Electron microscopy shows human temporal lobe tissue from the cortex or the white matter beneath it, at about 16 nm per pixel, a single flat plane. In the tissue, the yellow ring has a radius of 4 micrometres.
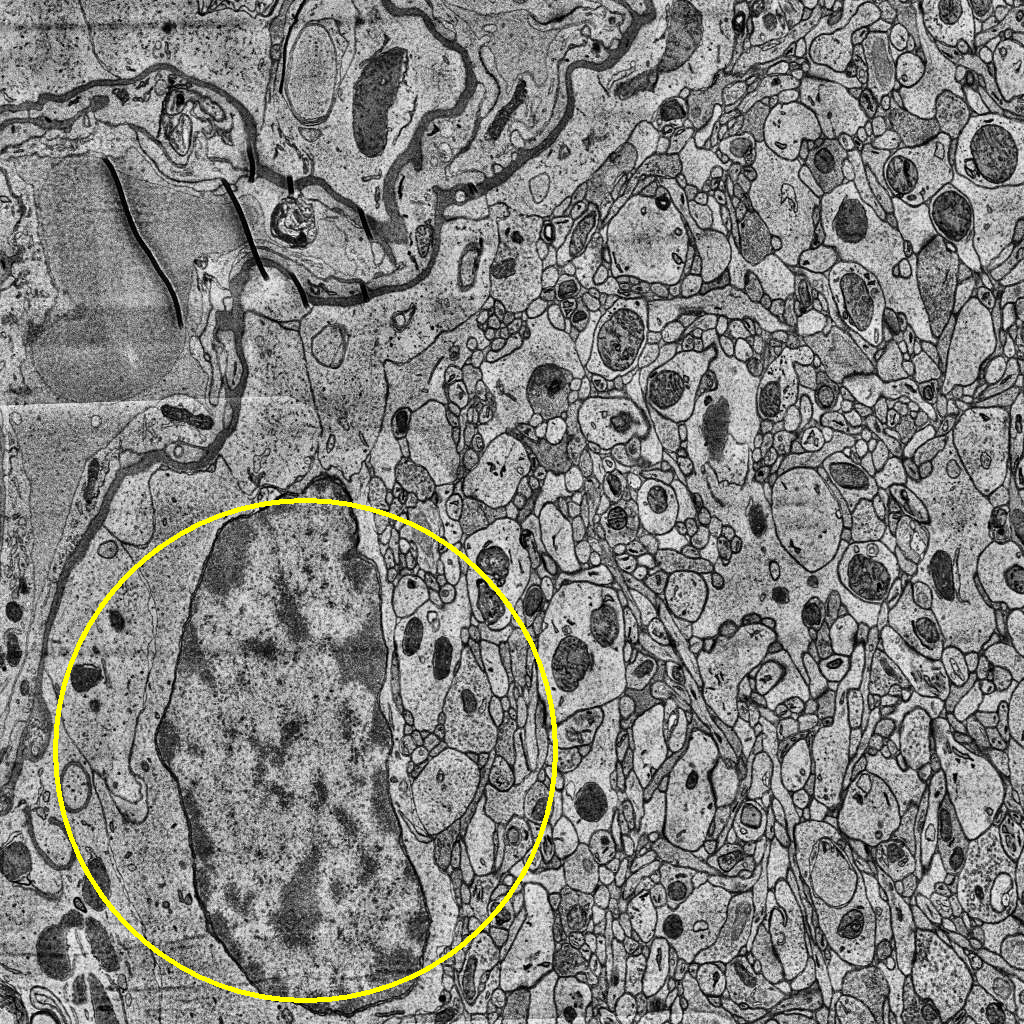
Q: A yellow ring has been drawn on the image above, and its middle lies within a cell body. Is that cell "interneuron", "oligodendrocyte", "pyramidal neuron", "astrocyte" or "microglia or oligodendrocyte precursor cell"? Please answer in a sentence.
The ring's middle lies in the cell body of a microglial cell or oligodendrocyte precursor cell.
